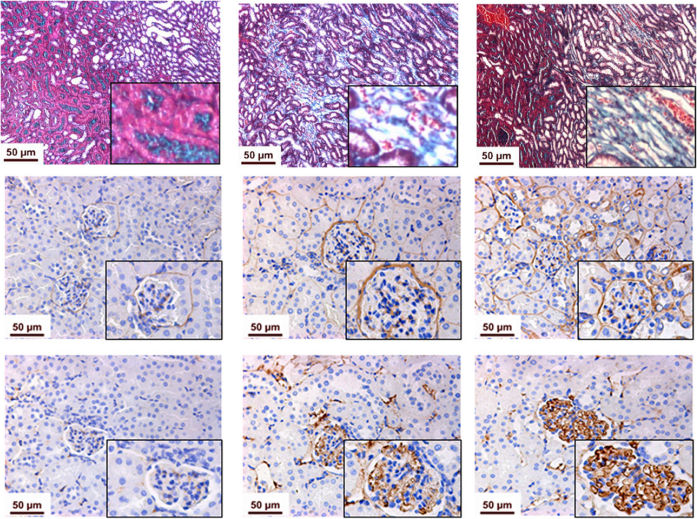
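This is a grid of kidney cortex sections in which tubules cut in cross-section and scattered round glomeruli can be seen, each glomerulus a compact tuft of cells inside a thin capsule. In the middle row, thin brown lines outline the tubules and glomerular capsules against pale cytoplasm and blue nuclei. In the bottom row, brown deposits fill the glomerular tufts, heavily in the middle and right images and barely at all in the left.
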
